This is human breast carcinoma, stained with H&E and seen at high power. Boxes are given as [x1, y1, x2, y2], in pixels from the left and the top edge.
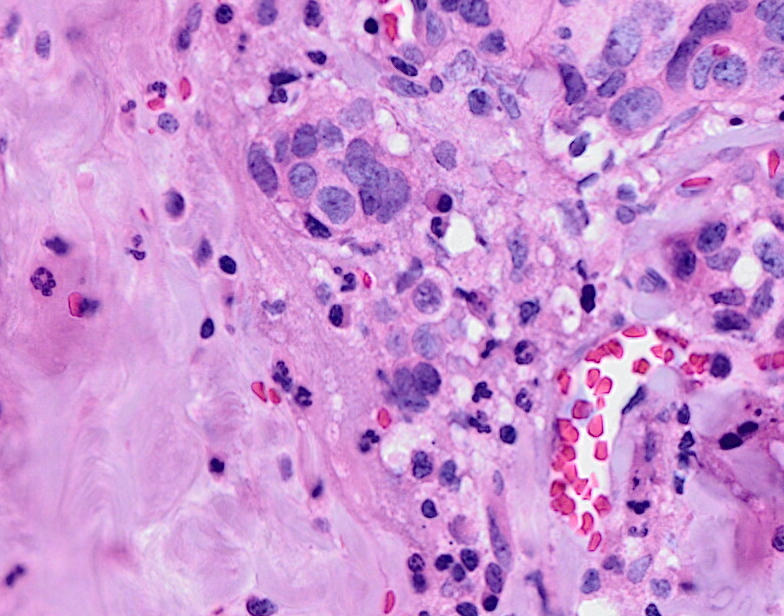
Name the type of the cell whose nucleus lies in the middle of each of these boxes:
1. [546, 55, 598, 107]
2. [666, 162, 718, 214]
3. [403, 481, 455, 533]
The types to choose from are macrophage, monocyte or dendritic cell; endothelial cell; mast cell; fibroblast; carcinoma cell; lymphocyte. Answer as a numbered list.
1. carcinoma cell
2. endothelial cell
3. lymphocyte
